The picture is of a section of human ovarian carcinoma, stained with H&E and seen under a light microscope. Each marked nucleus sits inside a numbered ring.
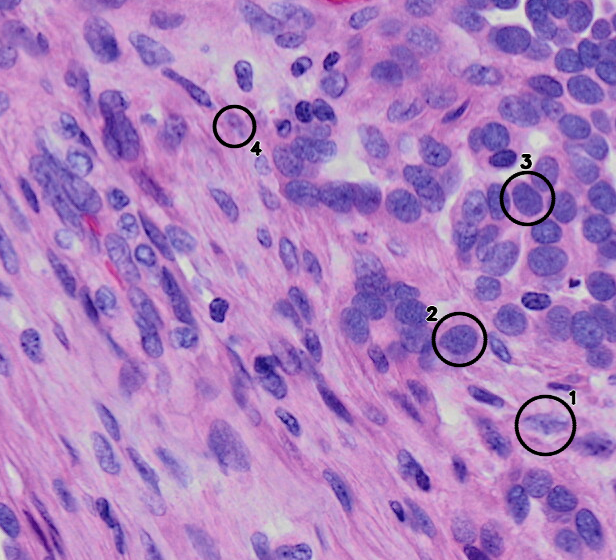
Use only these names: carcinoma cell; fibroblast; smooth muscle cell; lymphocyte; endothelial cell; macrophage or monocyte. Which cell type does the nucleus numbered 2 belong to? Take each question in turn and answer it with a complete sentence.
Recognised here as a carcinoma cell is the cell numbered 2.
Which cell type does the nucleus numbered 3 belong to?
The cell indicated by marker 3 is a carcinoma cell in this section.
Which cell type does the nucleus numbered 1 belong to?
The cell that is numbered 1 is a fibroblast.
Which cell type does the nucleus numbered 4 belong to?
The cell with the number 4 is a fibroblast.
